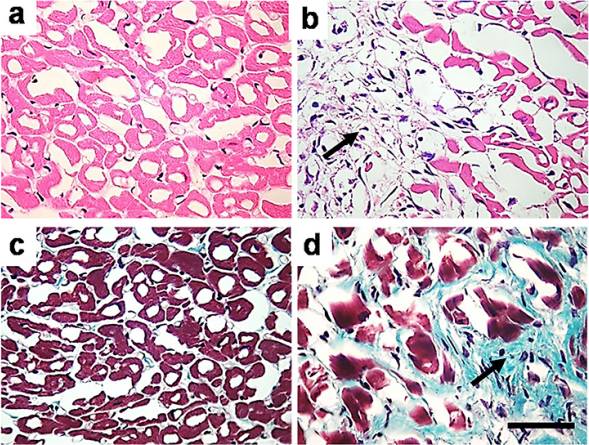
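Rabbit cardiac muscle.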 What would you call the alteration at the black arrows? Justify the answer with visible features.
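In the right-hand images, pale loose tissue with scattered nuclei lies between the muscle fibres. In the trichrome image, the arrow points to blue-green stained material filling the spaces between the red muscle fibres.
Conclusion: fibrosis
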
